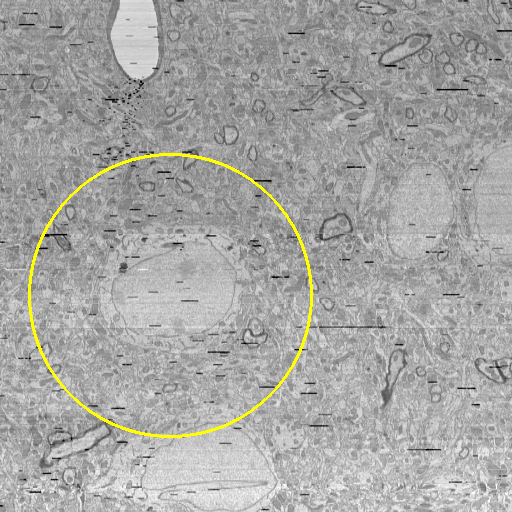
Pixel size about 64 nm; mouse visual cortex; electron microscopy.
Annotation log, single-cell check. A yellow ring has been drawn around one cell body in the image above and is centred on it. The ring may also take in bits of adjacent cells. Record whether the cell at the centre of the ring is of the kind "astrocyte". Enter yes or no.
no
